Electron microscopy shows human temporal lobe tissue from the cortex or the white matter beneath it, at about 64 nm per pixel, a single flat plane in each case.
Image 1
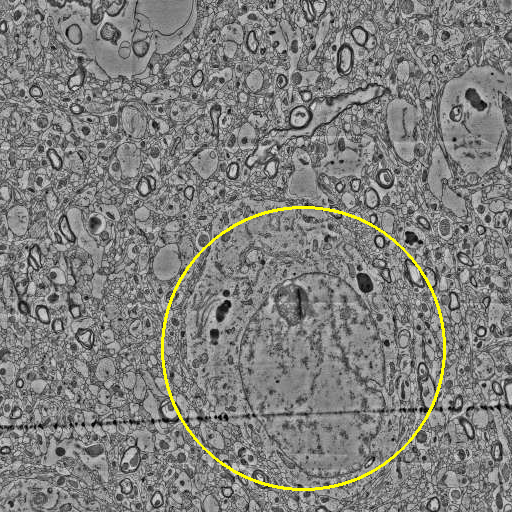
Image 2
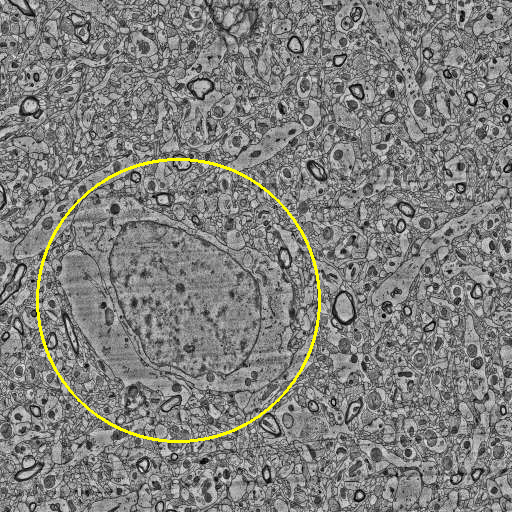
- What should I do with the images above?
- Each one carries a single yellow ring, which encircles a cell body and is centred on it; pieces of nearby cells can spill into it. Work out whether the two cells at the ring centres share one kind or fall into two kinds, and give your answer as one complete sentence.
The ring-centre cells of Image 1 and Image 2 share one kind.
